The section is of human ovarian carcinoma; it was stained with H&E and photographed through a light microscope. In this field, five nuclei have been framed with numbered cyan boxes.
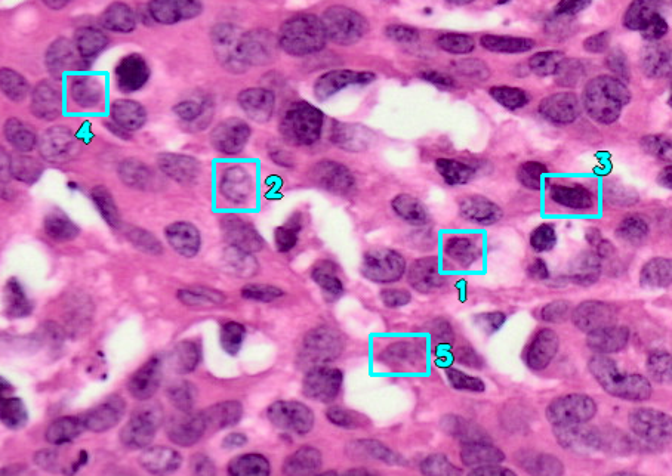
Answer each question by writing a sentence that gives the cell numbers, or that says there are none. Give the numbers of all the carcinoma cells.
Cells 3, 4 and 5 share one type; they are carcinoma cells.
